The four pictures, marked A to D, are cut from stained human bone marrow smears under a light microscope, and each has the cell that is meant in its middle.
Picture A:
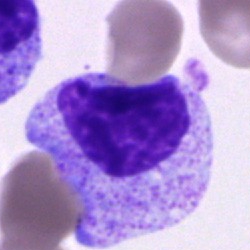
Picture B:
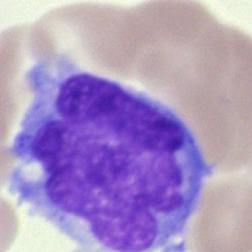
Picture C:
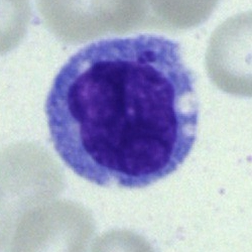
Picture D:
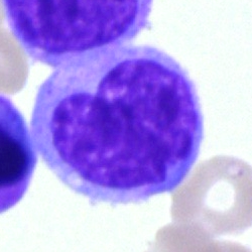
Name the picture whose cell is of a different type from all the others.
A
